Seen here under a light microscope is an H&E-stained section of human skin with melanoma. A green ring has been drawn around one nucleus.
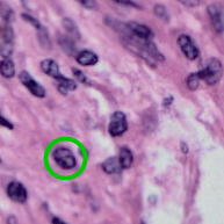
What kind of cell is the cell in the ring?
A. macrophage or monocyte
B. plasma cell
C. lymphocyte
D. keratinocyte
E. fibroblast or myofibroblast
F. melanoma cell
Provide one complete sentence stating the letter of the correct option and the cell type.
Among the choices, option B is correct, the cell in the ring being a plasma cell.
